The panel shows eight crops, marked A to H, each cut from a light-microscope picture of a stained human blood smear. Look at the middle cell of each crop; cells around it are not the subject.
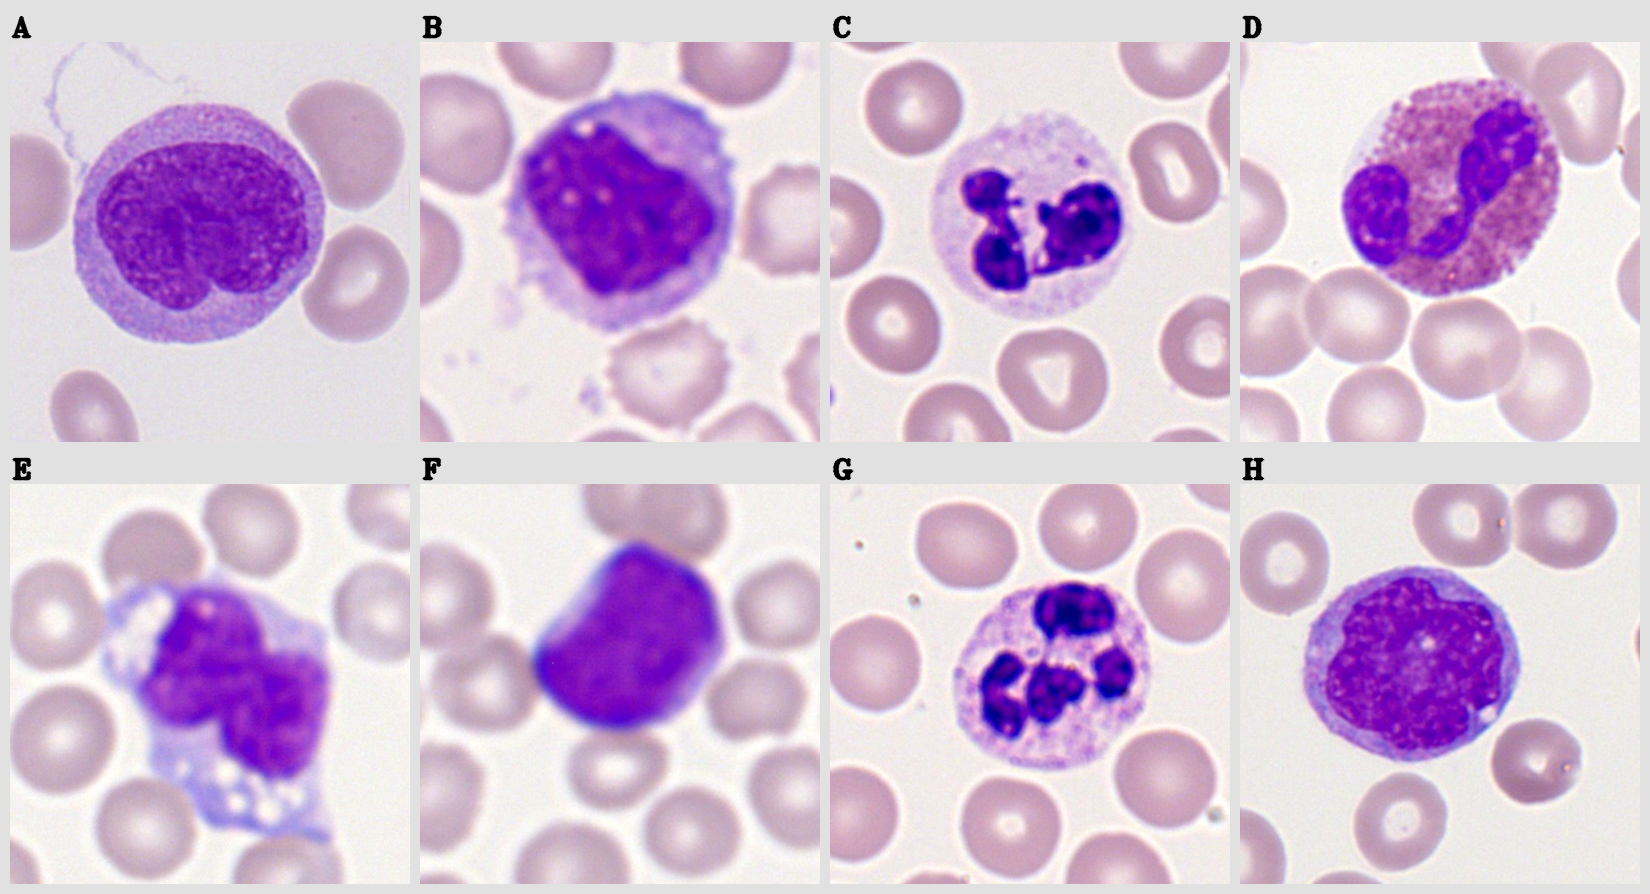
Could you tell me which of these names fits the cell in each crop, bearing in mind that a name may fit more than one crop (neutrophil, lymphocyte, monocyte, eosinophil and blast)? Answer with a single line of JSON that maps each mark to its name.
{"A": "blast", "B": "monocyte", "C": "neutrophil", "D": "eosinophil", "E": "monocyte", "F": "blast", "G": "neutrophil", "H": "monocyte"}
